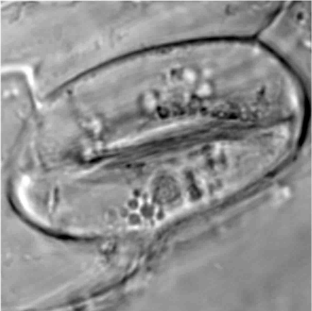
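A single stoma is seen in transmitted light, made of two elongated guard cells that together form an oval with a sharp outer wall. The two guard cells meet along a central line marking the pore. Their cytoplasm contains clusters of small rounded bodies, gathered mostly in the upper cell and in a patch of the lower cell. Walls of neighbouring epidermal cells join the stoma at its ends and side.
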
